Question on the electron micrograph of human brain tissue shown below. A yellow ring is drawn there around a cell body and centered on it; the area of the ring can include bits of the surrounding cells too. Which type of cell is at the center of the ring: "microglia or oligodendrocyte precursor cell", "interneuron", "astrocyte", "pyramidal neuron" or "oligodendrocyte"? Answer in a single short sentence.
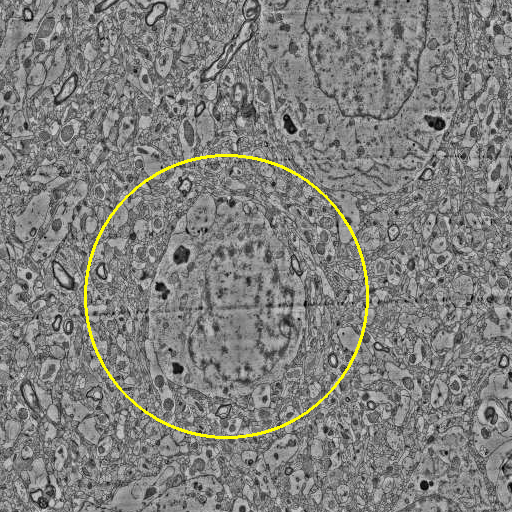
The ring is centered on an interneuron.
